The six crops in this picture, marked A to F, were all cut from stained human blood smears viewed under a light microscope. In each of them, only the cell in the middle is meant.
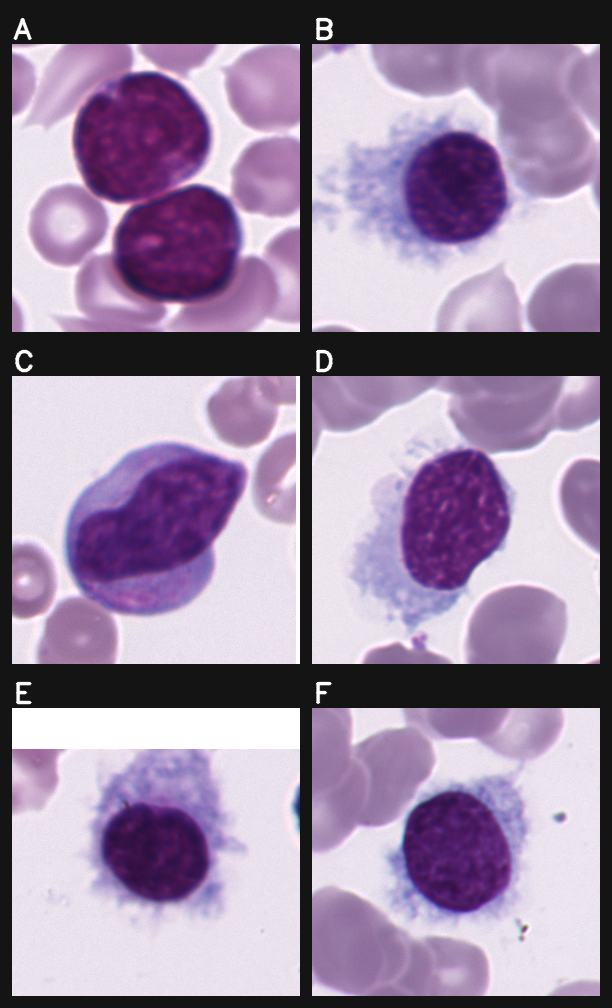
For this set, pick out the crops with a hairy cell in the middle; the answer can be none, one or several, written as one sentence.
What crops B, D, E and F show in the middle are hairy cells.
